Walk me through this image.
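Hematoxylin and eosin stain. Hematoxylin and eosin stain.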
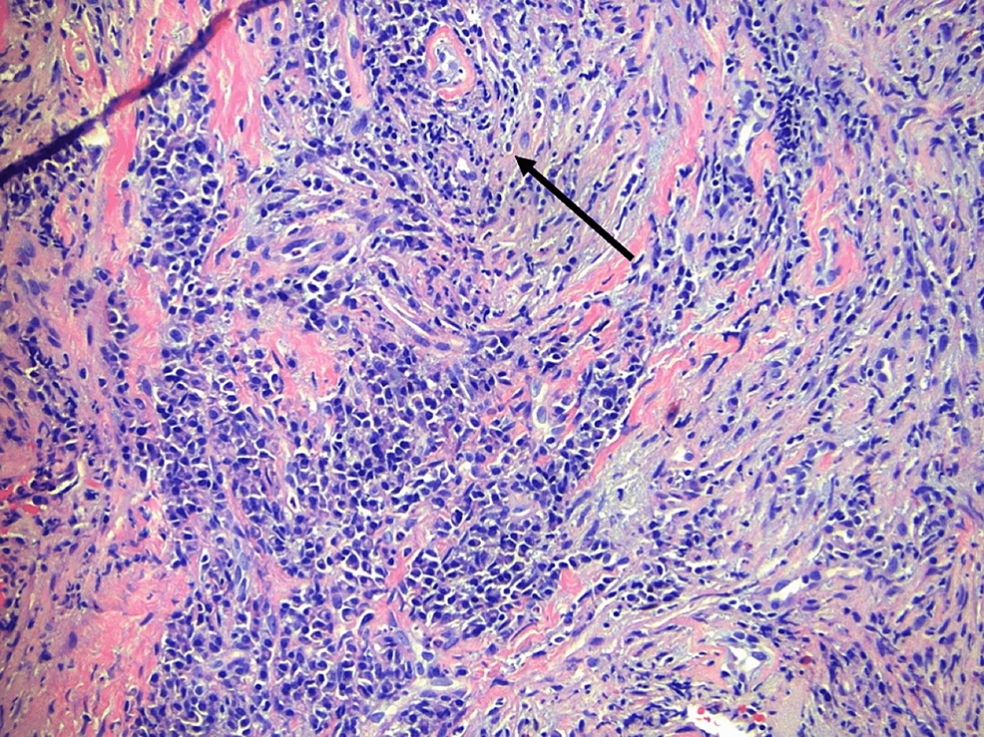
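Fibroinflammatory tissue with a dense mixed inflammatory infiltrate of plasma cells, lymphocytes, eosinophils and histiocytes set among spindle cells and pink collagen bundles. Small round cells with dark purple nuclei crowd in sheets around small vessels with pink walls, while elongated spindle nuclei in a pale bluish stroma run in swirling fascicles at the periphery.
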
